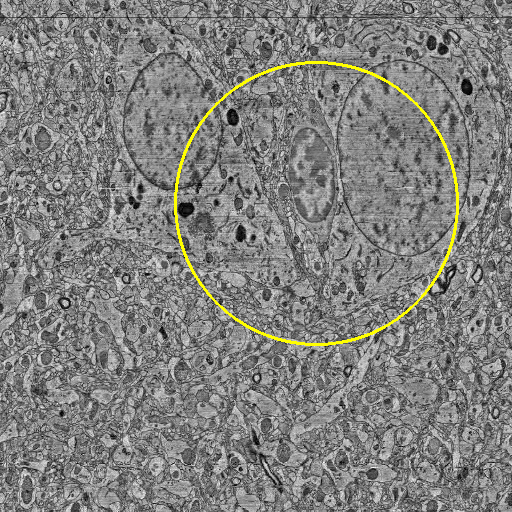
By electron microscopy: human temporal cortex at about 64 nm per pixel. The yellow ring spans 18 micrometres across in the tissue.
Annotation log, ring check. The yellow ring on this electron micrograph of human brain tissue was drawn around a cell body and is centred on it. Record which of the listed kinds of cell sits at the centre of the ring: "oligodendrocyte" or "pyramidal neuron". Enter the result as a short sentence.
The cell at the centre of the ring is an oligodendrocyte.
